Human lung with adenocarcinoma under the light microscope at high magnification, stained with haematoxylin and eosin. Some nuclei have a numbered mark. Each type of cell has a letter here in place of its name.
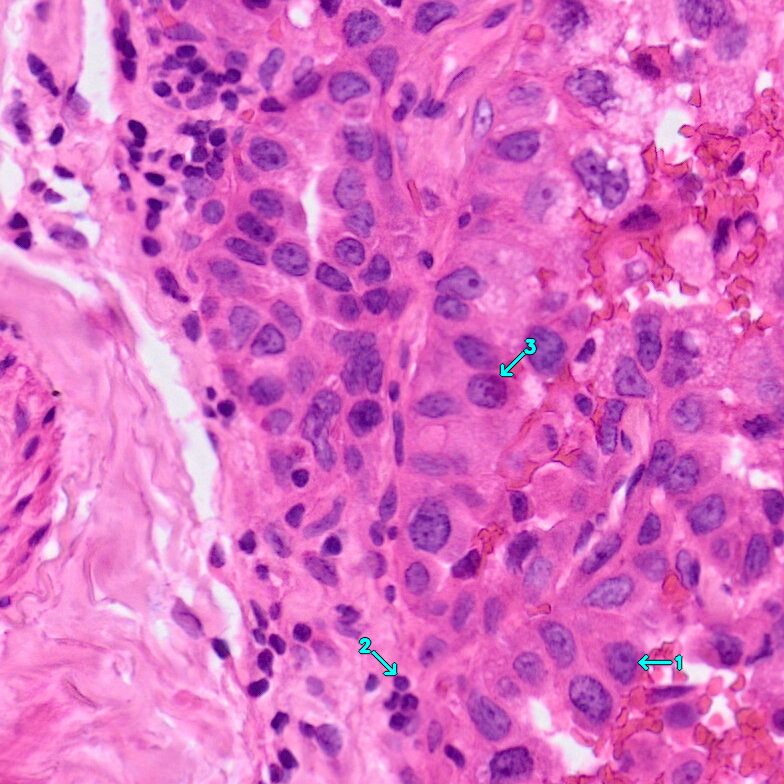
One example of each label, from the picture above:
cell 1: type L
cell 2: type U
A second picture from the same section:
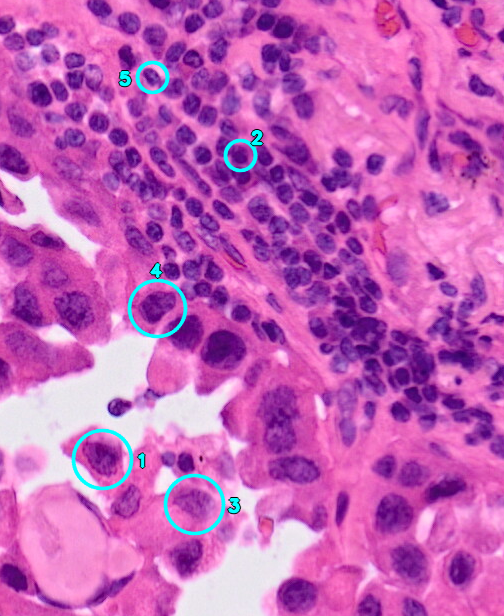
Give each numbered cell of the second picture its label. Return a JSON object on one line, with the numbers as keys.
{"1": "type L", "2": "type U", "3": "type L", "4": "type L", "5": "type U"}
